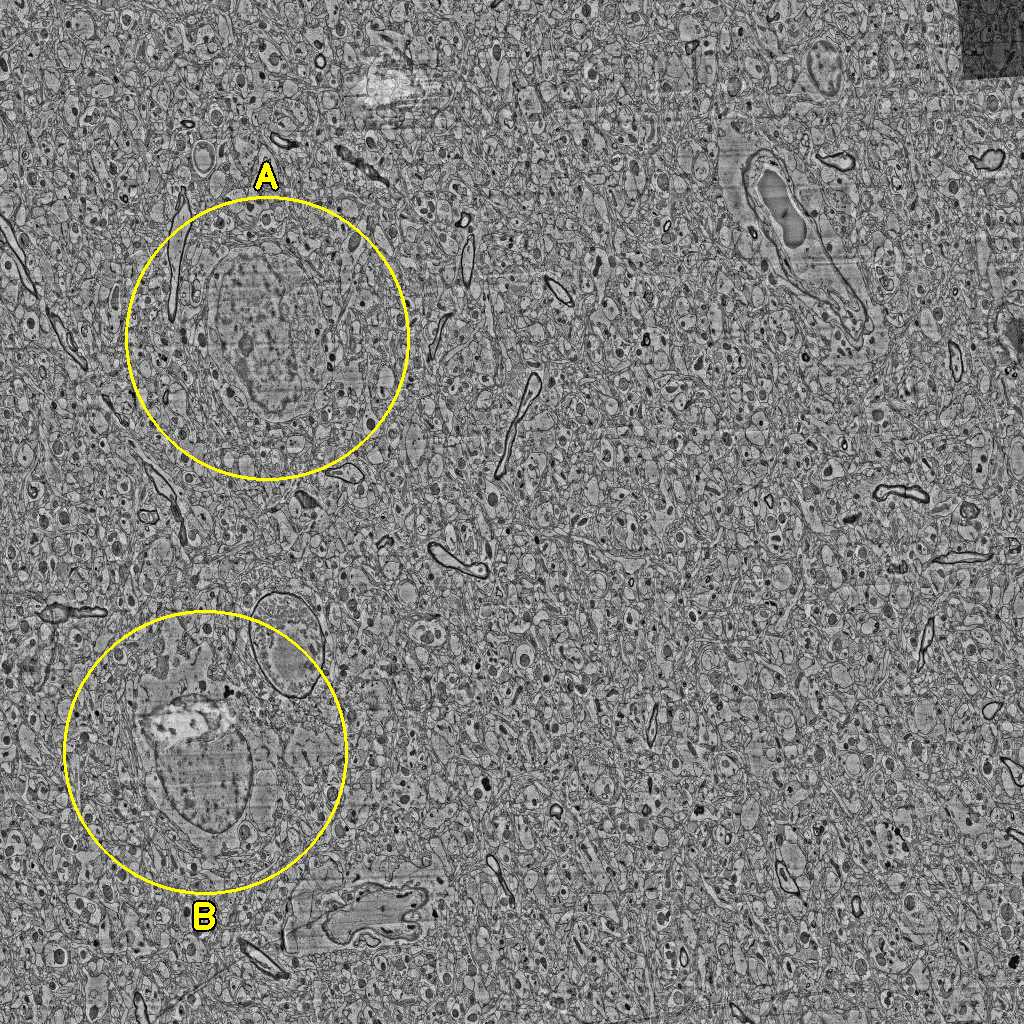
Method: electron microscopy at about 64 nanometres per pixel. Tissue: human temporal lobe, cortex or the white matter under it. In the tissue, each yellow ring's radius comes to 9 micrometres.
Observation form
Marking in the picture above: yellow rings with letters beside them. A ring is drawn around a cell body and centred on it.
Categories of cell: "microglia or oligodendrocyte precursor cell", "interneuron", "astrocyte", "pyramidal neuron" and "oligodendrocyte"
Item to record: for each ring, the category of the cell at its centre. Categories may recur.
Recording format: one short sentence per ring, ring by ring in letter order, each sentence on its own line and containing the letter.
Ring A is placed on an interneuron.
Ring B is placed on an astrocyte.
